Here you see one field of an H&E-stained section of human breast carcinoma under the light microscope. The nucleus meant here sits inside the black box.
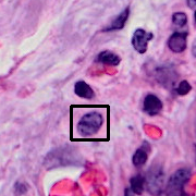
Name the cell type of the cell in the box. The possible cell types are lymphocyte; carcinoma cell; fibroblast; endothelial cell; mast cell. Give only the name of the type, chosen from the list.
mast cell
